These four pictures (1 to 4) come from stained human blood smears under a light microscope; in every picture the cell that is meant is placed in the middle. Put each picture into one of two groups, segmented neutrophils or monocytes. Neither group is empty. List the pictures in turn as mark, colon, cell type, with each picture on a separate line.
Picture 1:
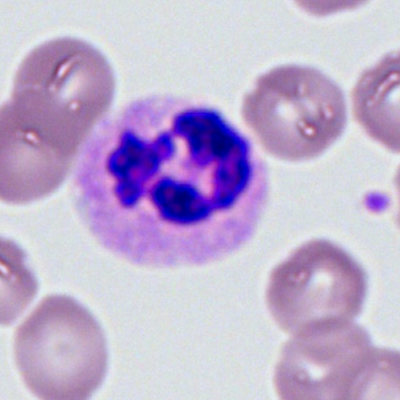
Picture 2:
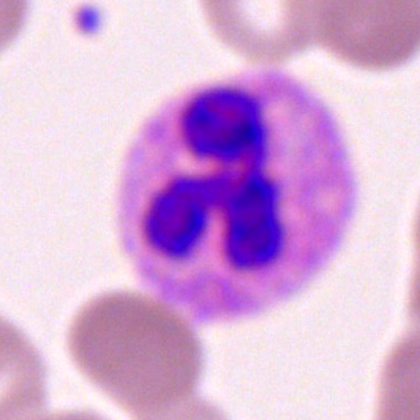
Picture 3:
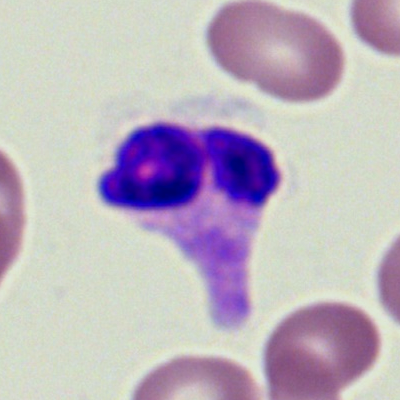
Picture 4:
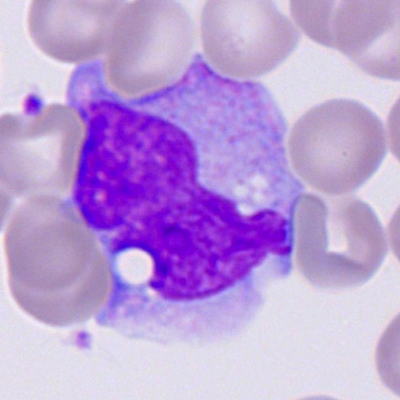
1: segmented neutrophil
2: segmented neutrophil
3: segmented neutrophil
4: monocyte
